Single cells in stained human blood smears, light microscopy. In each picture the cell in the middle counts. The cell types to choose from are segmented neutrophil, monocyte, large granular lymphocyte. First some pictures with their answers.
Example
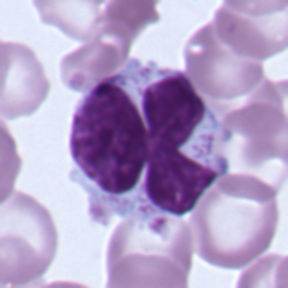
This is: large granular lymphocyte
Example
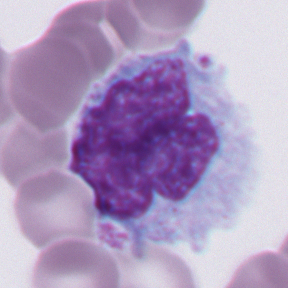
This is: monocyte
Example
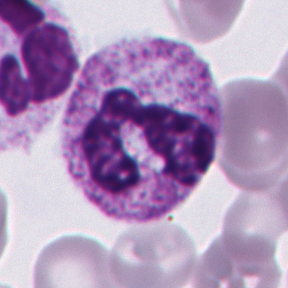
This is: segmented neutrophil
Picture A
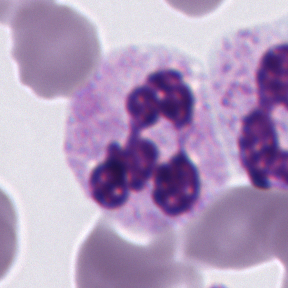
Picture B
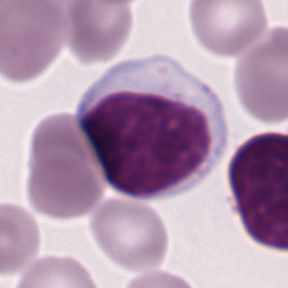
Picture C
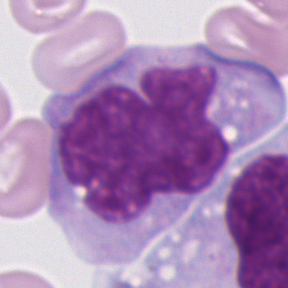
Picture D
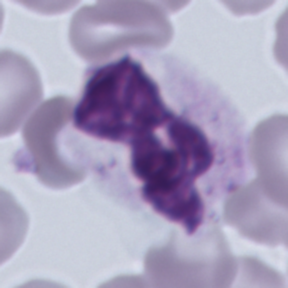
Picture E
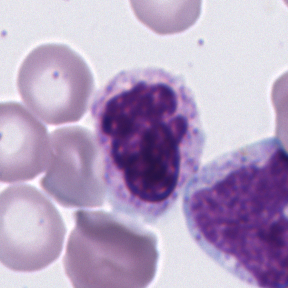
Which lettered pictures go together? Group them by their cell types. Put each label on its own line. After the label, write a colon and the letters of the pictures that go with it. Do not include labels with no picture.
segmented neutrophil: A, D, E
monocyte: C
large granular lymphocyte: B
